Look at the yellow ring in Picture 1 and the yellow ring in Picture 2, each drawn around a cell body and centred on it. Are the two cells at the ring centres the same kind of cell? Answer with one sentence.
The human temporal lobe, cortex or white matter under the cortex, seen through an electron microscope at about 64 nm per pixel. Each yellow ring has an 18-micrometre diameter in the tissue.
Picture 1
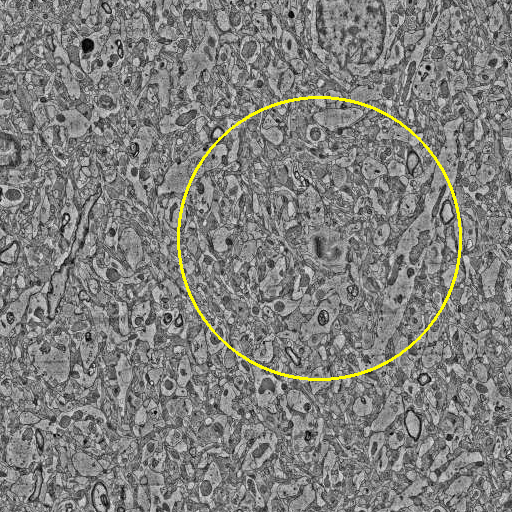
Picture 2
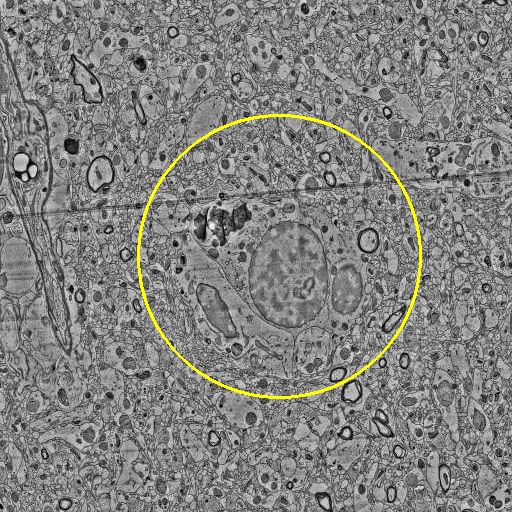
Yes, both are the same kind of cell.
